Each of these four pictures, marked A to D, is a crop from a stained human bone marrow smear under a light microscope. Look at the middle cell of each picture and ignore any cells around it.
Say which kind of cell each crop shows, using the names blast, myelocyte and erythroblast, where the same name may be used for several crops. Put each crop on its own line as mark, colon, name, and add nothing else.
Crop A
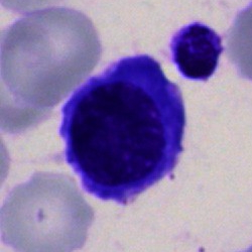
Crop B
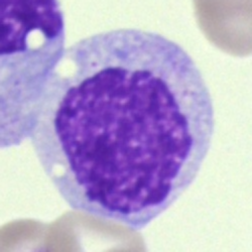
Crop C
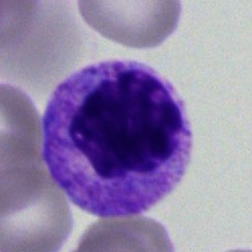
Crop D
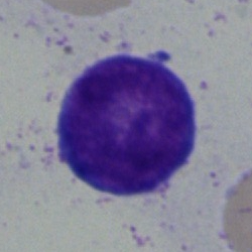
A: erythroblast
B: myelocyte
C: myelocyte
D: blast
